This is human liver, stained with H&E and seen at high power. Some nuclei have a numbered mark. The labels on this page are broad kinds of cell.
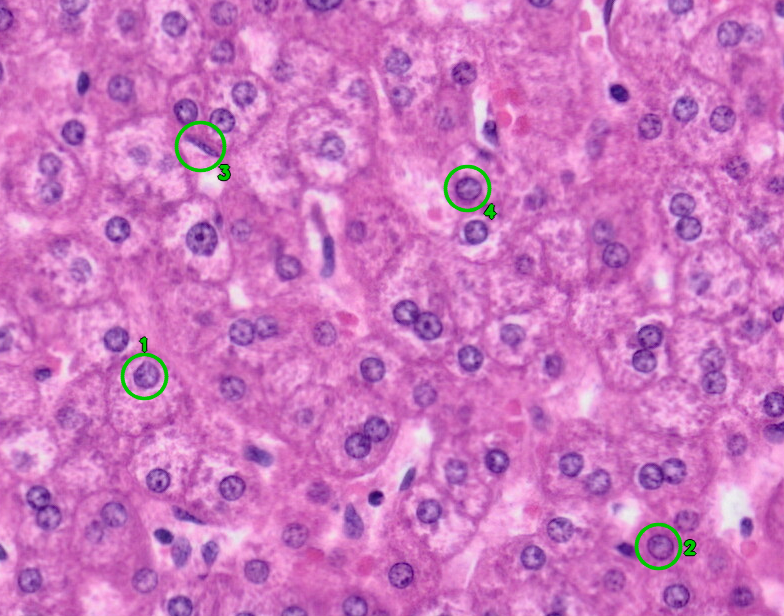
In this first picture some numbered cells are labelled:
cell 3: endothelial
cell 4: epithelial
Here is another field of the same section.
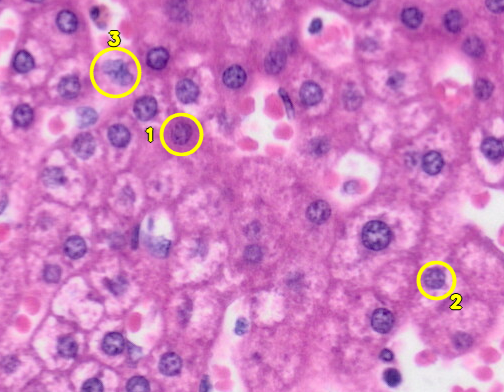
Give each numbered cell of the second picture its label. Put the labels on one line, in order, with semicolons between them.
epithelial; epithelial; endothelial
